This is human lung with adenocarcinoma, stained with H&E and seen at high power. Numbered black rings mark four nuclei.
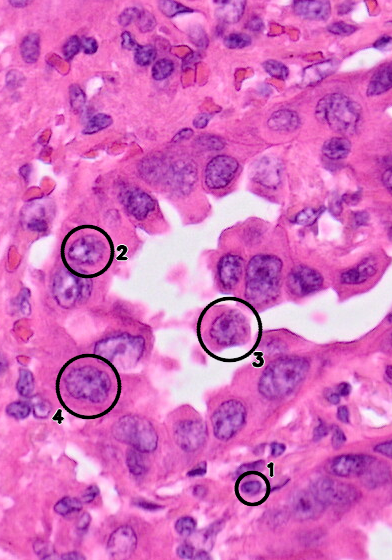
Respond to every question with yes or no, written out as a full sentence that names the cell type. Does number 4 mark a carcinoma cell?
Yes, number 4 corresponds to a carcinoma cell.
